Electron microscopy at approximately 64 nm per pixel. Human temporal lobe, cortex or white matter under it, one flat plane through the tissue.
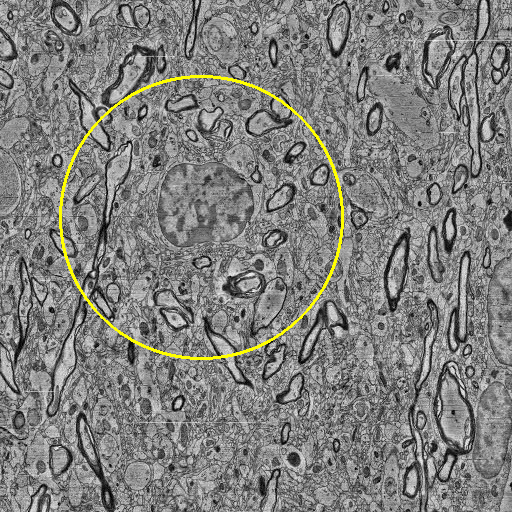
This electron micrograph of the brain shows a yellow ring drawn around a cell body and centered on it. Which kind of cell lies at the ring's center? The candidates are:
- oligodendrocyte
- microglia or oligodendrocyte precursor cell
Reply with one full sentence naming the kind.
The cell lying at the ring's center in this micrograph is a microglial cell or oligodendrocyte precursor cell.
